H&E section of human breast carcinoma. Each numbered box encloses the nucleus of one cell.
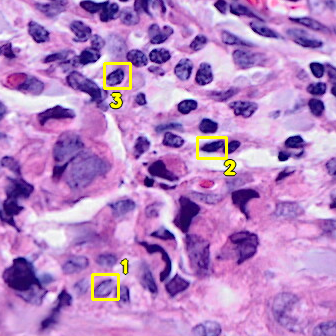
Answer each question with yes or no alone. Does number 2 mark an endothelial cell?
no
